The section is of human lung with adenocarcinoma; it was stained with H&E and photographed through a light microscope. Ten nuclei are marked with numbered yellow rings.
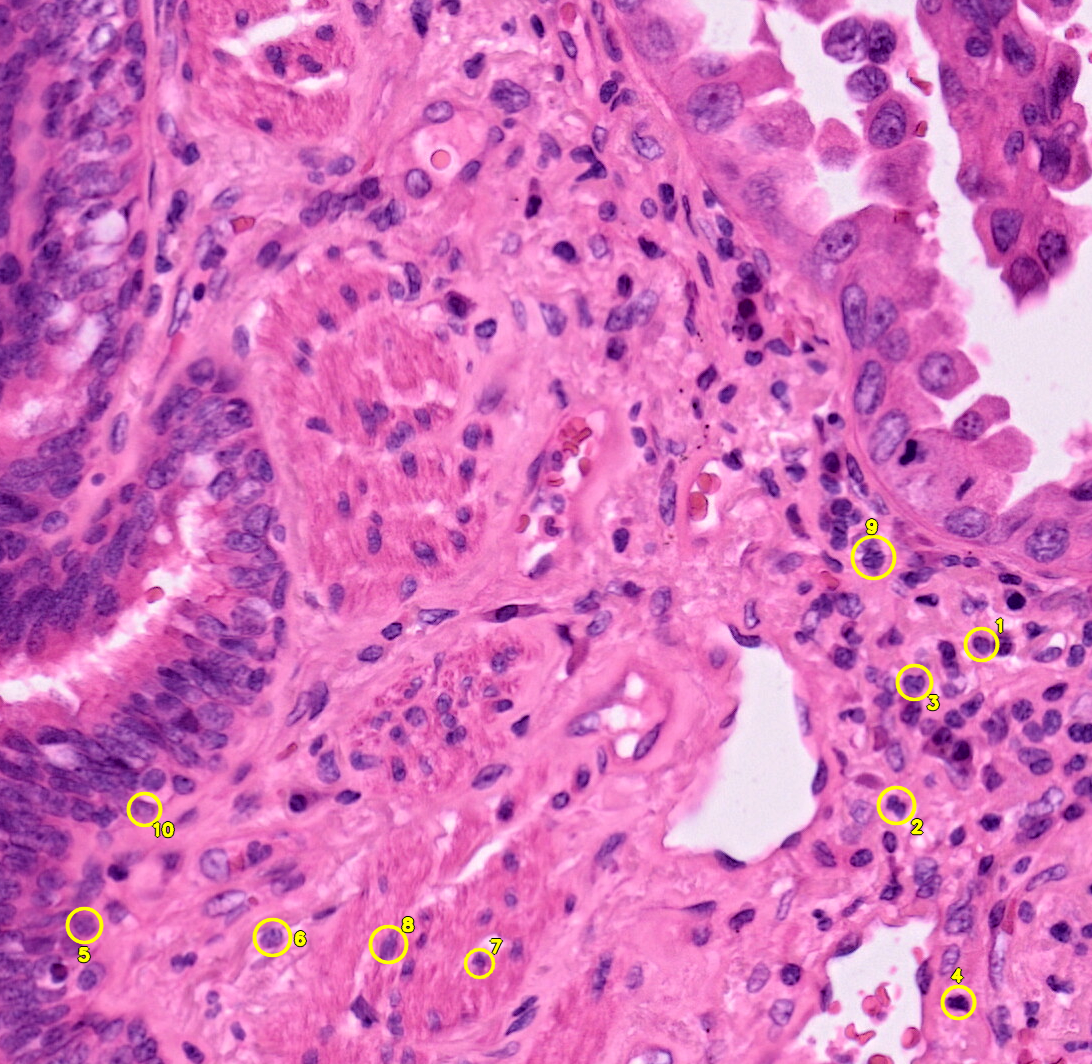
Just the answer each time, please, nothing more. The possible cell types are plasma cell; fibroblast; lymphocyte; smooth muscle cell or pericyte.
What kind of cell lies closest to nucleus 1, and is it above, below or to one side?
a plasma cell, to the right of nucleus 1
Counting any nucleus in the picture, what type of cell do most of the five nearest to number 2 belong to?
fibroblast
